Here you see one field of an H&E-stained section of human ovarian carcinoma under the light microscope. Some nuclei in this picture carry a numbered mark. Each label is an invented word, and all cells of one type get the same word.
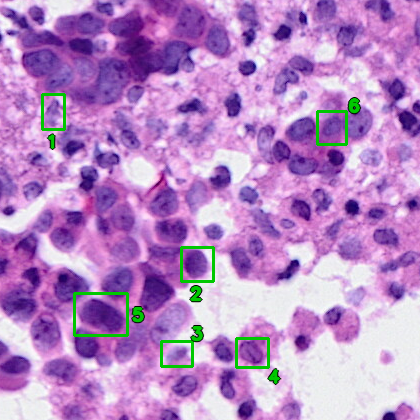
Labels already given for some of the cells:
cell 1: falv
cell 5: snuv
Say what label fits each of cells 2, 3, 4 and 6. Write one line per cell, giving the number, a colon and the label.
2: snuv
3: falv
4: falv
6: snuv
